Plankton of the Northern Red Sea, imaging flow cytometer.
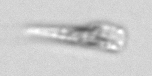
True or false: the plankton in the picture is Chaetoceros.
False; it is Licmophora.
